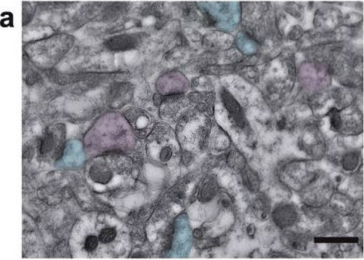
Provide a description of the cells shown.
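This electron micrograph shows densely packed neuropil made of cross-sectioned axons, dendrites and dendritic spines. Small rounded spine heads, several of them shaded in colour, contact axon terminals that are filled with small round synaptic vesicles. At these contacts a thick dark density lines the postsynaptic membrane, giving the junctions an asymmetric appearance. Dark, oval to elongated mitochondria with visible internal membranes are scattered through the processes. Pale, irregular profiles of varying size fill the spaces between the larger structures.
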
